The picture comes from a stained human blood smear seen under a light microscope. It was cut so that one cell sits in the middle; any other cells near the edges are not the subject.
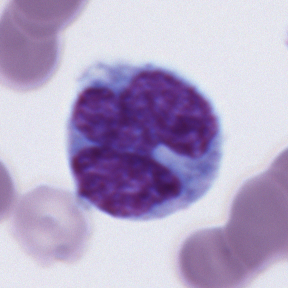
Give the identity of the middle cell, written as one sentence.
In the middle of this smear crop, the cell is a monocyte.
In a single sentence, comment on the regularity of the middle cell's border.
The border of this cell runs smooth and free of any projections.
